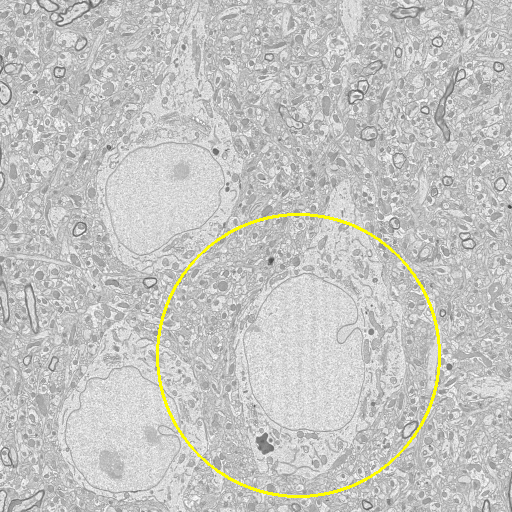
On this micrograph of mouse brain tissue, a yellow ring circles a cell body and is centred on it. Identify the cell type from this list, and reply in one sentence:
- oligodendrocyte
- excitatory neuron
The cell at the centre is an excitatory neuron.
